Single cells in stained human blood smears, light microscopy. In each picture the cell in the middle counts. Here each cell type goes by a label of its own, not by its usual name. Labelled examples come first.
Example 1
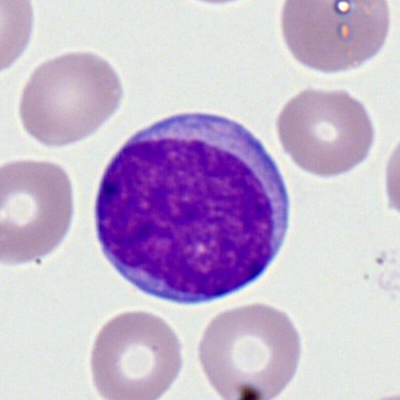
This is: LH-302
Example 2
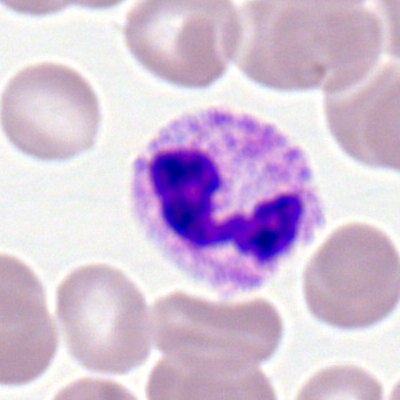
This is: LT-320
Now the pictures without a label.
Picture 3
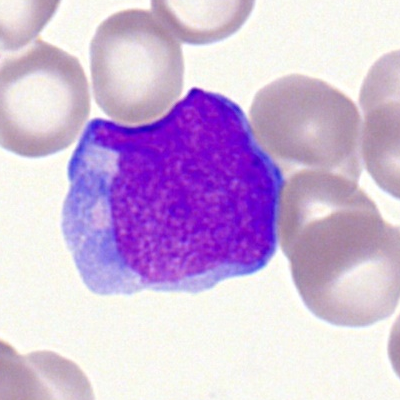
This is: LH-302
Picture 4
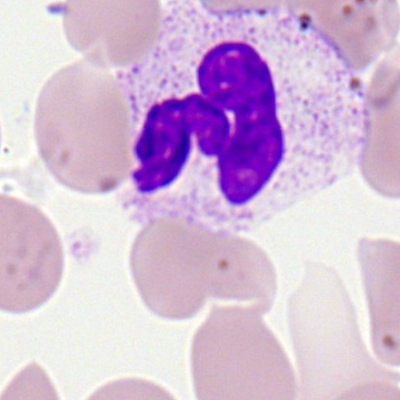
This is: LT-320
